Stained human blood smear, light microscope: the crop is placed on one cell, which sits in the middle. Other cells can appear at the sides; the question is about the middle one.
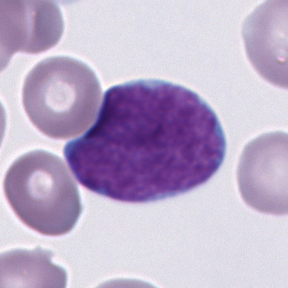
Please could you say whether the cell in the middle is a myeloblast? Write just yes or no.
yes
